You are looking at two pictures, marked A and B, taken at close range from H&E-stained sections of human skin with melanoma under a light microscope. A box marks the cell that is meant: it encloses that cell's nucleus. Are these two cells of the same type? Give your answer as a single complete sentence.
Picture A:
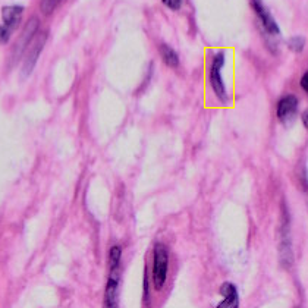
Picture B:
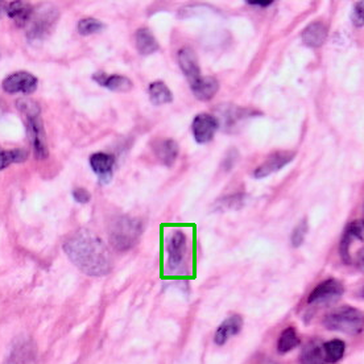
Yes, the two pictures both show “fibroblasts or myofibroblasts”.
